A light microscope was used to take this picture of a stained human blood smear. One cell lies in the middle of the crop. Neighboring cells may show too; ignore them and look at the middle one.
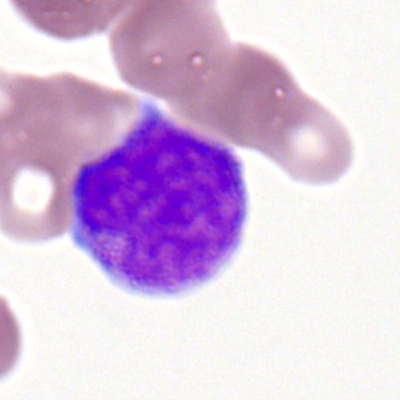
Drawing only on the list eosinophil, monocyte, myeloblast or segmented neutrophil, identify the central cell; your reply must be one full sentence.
The cell in the middle of this crop is a myeloblast.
